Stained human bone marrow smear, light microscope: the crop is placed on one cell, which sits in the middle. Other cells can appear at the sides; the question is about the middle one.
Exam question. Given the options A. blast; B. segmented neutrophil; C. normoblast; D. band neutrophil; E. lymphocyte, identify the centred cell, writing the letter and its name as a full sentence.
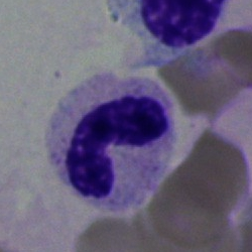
Option D is right in identifying the central cell as a band neutrophil.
